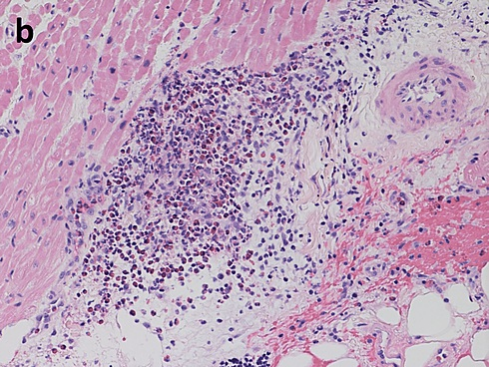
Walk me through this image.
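Heart muscle meets epicardial fat, with a dense collection of white blood cells, many of them eosinophils, at the boundary. Pink striated muscle fibres with central oval nuclei run along the left side. In the middle lies a crowded cluster of small round cells; many have bright red-orange granular cytoplasm and dark lobed nuclei, mixed with cells with small round dark nuclei. To the right are clear, empty-looking fat cells, pink fibrous strands and a small artery with a thick muscular wall.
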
